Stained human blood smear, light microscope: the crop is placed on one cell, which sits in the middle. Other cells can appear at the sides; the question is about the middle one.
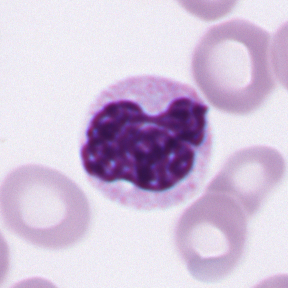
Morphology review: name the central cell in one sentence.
By type, the central cell of the crop is a segmented neutrophil.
